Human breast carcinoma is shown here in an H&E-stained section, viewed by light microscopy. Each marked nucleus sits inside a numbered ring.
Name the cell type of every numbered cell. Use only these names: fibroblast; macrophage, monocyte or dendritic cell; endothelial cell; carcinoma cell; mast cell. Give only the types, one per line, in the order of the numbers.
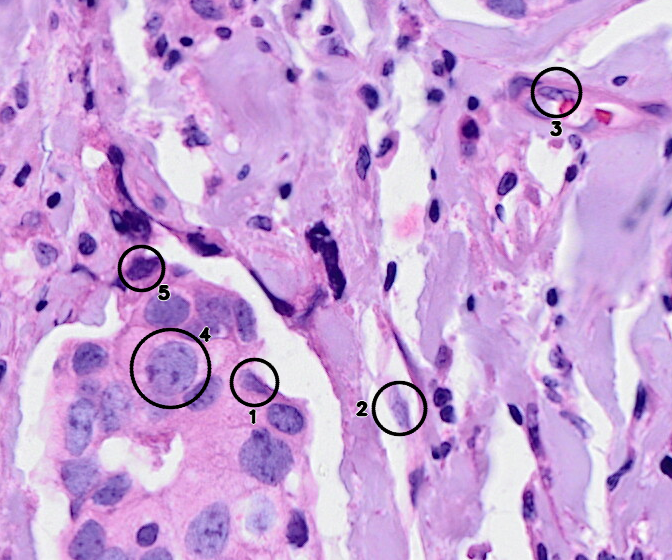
carcinoma cell
fibroblast
endothelial cell
carcinoma cell
carcinoma cell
